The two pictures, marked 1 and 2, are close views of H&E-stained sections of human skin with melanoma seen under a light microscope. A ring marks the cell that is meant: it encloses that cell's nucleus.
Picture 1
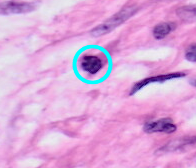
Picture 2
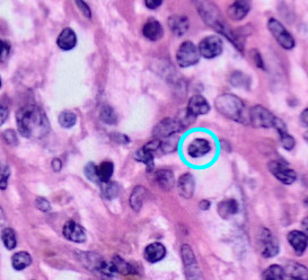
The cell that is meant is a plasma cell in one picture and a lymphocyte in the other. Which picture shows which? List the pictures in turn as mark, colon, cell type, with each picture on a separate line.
1: plasma cell
2: lymphocyte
